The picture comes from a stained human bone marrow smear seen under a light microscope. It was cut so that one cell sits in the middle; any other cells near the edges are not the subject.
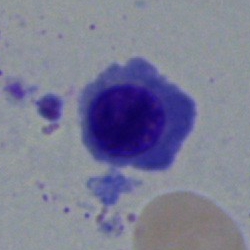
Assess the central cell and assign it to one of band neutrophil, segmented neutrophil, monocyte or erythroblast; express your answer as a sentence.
At the middle of the frame sits an erythroblast.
